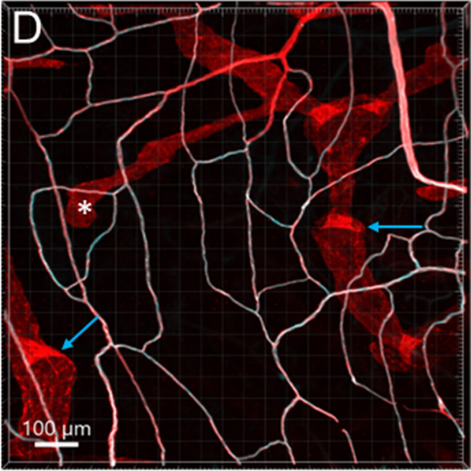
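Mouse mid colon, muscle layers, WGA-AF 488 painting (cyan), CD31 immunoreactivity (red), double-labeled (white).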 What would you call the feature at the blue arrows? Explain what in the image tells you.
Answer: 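Lymphatic vessels. The blue arrows point to wide red-only vessels with uneven calibre. Brighter red folds lie across these vessels. They are far wider than the thin white capillaries beside them.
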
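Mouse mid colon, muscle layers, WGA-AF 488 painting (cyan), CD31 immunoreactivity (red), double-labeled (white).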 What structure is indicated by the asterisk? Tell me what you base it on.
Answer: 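Blind starting points. The asterisk lies on the rounded closed end of a wide red vessel. The vessel does not continue beyond this rounded end.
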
